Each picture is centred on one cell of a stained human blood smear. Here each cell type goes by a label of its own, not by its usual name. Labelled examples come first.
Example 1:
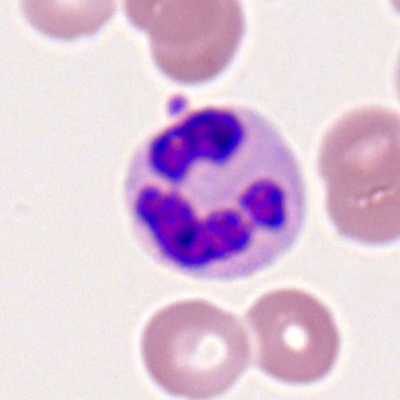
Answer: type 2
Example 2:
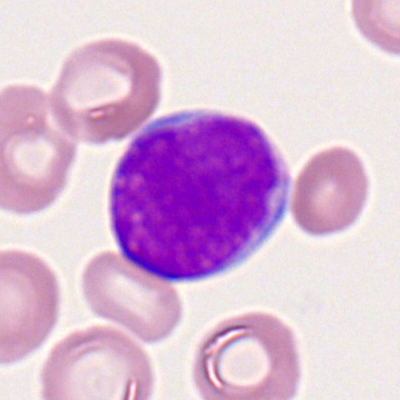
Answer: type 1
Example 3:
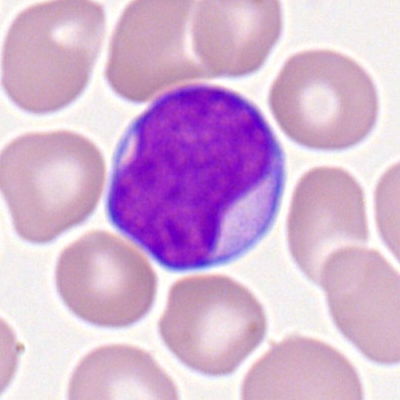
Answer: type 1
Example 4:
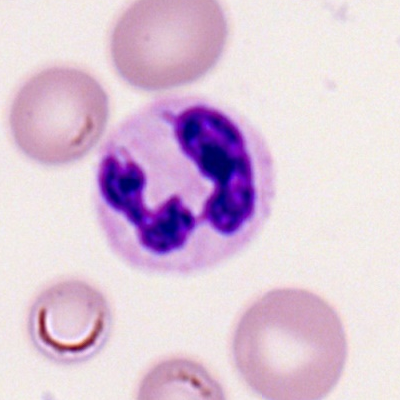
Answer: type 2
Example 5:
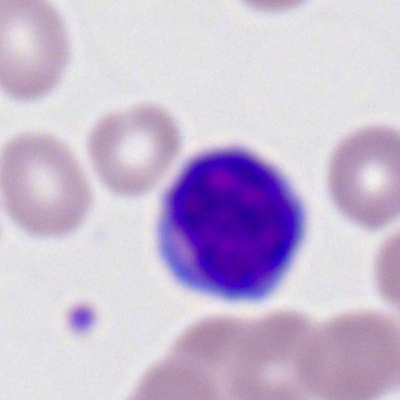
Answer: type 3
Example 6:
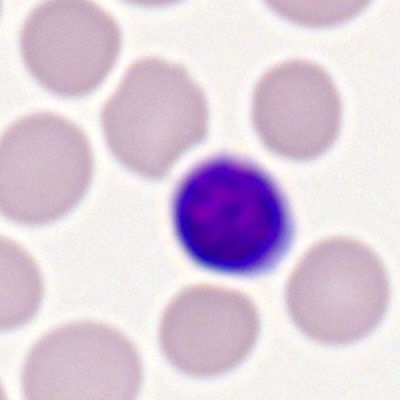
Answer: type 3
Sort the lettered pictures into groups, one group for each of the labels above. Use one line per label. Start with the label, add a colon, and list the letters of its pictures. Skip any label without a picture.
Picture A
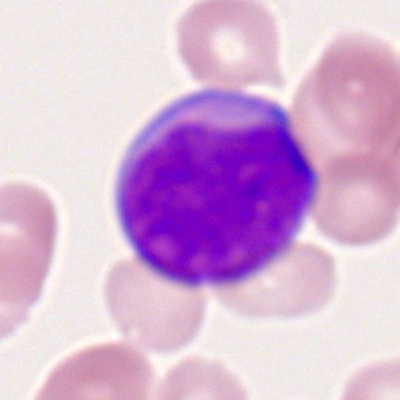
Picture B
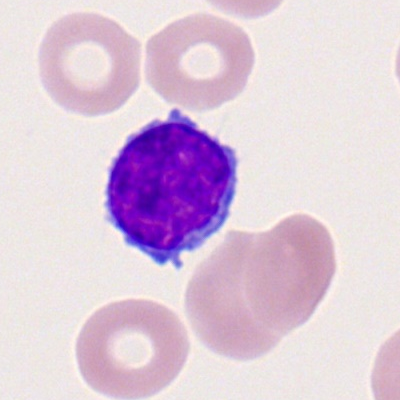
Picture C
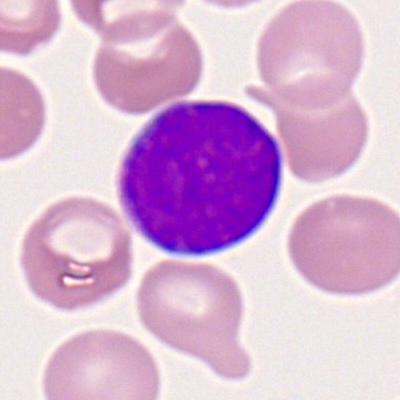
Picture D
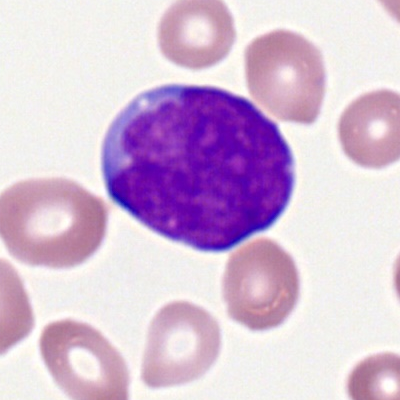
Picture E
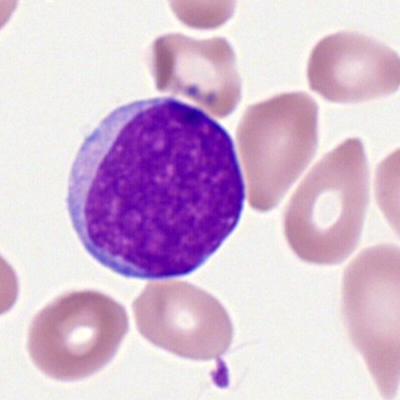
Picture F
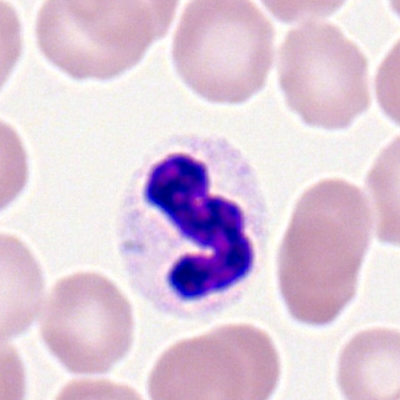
type 2: F
type 1: A, C, D, E
type 3: B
